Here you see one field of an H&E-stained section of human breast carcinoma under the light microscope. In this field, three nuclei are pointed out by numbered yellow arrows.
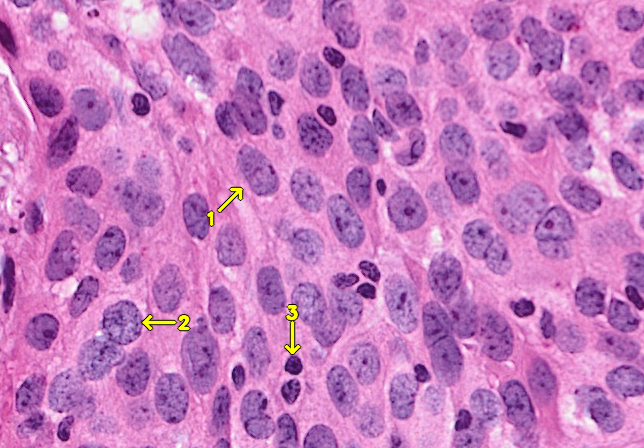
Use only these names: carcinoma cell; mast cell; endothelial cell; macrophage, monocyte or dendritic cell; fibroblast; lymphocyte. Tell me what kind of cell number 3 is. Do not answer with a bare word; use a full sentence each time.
Belonging to a lymphocyte is the nucleus that carries the number 3.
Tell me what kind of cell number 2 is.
Cell 2, among those numbered, is a carcinoma cell.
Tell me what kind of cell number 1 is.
In this section, number 1 marks a carcinoma cell.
